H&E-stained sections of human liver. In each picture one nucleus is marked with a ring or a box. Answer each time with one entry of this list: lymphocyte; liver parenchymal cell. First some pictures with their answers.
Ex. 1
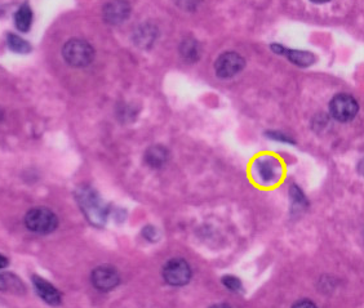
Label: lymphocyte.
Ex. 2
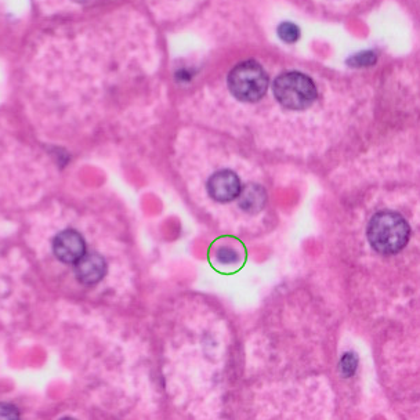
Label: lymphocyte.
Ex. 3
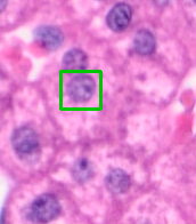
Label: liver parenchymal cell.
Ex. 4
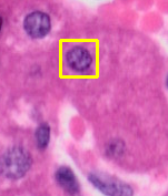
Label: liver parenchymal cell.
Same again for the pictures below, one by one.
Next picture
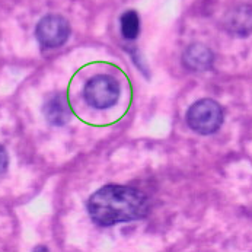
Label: liver parenchymal cell.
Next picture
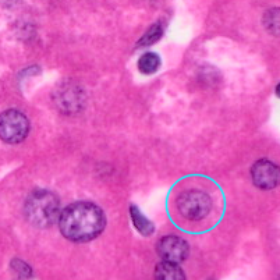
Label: liver parenchymal cell.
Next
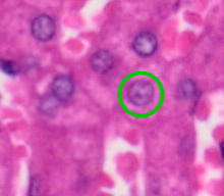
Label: liver parenchymal cell.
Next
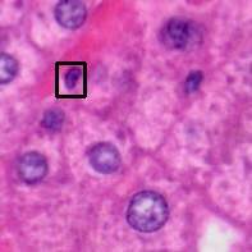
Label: lymphocyte.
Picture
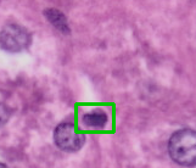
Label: lymphocyte.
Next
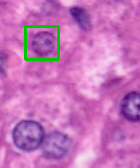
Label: liver parenchymal cell.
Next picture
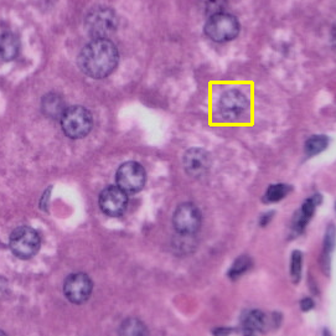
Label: liver parenchymal cell.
